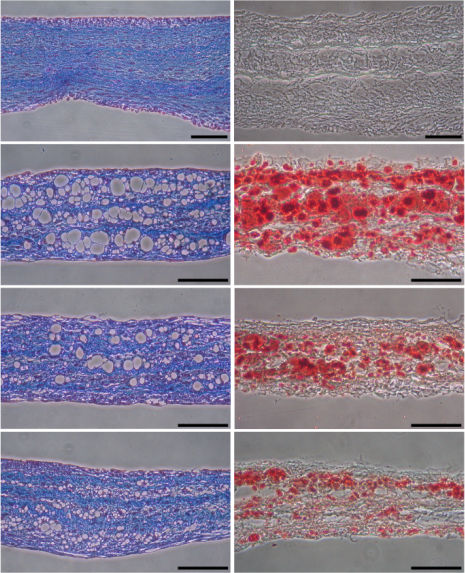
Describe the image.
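In the left-hand images the matrix and cells stain blue to purple, with elongated cells arranged in parallel layers. In the lower rows, round clear vacuoles of many sizes are scattered through the sheet, from small droplets to large unilocular-looking spaces. The top row lacks both vacuoles and red droplets and shows only fibrous layered tissue.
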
